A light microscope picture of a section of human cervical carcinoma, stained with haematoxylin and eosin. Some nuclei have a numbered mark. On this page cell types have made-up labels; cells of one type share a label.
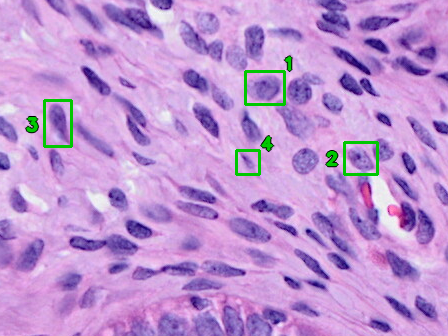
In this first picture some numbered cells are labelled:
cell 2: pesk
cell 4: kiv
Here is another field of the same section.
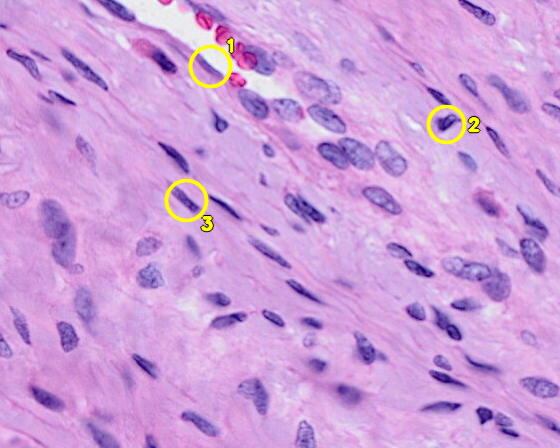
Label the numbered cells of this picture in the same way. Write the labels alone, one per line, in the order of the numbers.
pesk
kiv
kiv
